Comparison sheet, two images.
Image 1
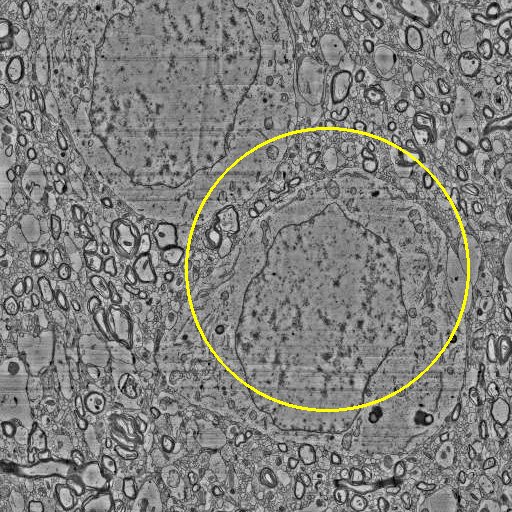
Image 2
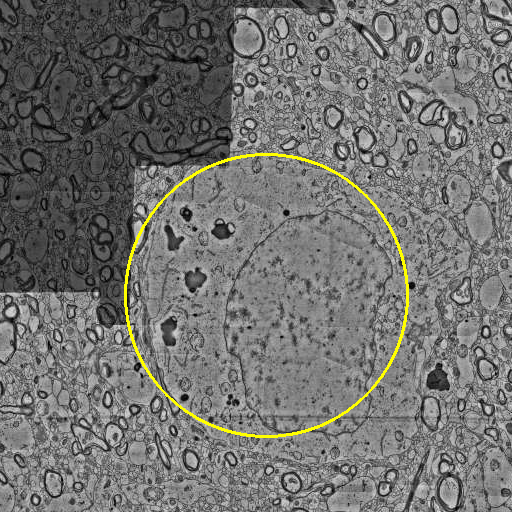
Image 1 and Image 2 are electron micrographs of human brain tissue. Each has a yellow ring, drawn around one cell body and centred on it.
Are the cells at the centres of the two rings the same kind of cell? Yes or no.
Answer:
yes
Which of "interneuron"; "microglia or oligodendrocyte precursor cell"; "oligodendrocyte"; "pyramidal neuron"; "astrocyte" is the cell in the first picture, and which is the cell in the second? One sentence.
Both rings mark a pyramidal neuron, one in each picture.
